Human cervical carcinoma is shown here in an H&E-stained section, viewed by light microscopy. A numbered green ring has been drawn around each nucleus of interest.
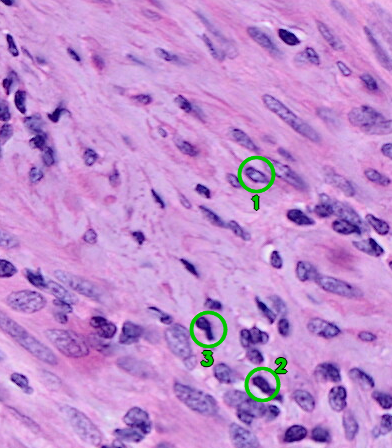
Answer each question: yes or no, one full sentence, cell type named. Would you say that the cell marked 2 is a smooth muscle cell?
No, what number 2 shows is a lymphocyte, not a smooth muscle cell.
